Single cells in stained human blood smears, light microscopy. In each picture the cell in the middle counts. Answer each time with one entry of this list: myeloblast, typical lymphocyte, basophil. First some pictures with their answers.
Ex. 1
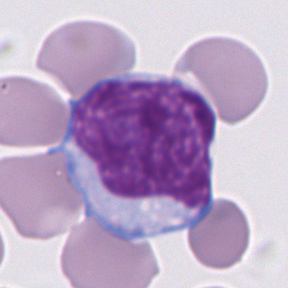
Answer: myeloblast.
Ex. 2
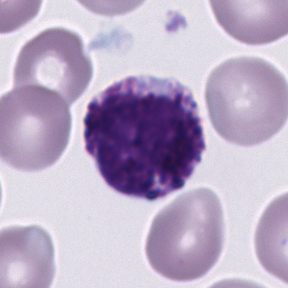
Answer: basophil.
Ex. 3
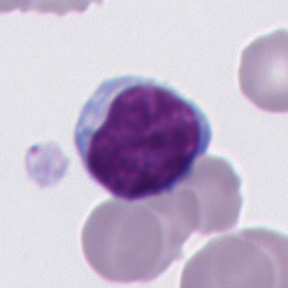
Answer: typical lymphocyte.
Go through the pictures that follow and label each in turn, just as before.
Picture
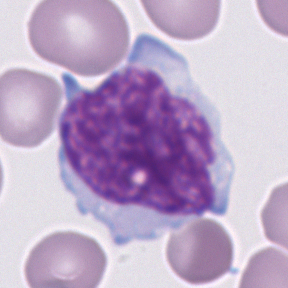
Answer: myeloblast.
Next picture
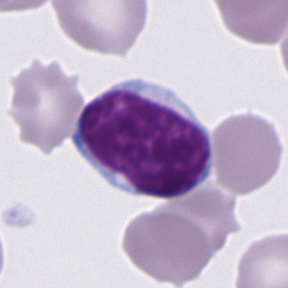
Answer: typical lymphocyte.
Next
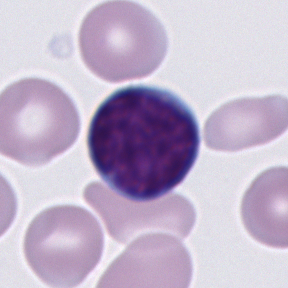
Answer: typical lymphocyte.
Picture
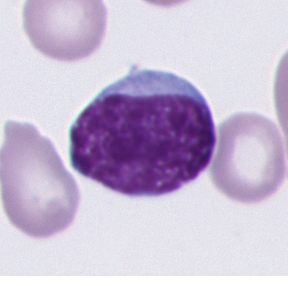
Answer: myeloblast.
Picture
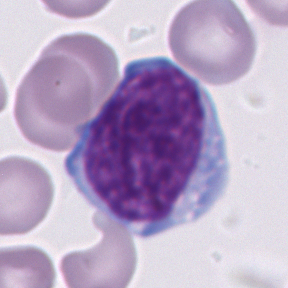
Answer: myeloblast.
